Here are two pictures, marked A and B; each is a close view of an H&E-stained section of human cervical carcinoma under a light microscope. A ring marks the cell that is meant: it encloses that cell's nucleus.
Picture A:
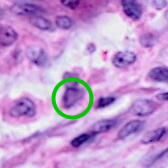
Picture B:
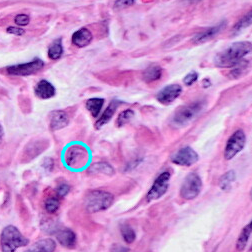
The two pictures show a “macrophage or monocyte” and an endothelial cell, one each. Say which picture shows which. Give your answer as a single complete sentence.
In picture A the cell is a “macrophage or monocyte”; in picture B, an endothelial cell.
